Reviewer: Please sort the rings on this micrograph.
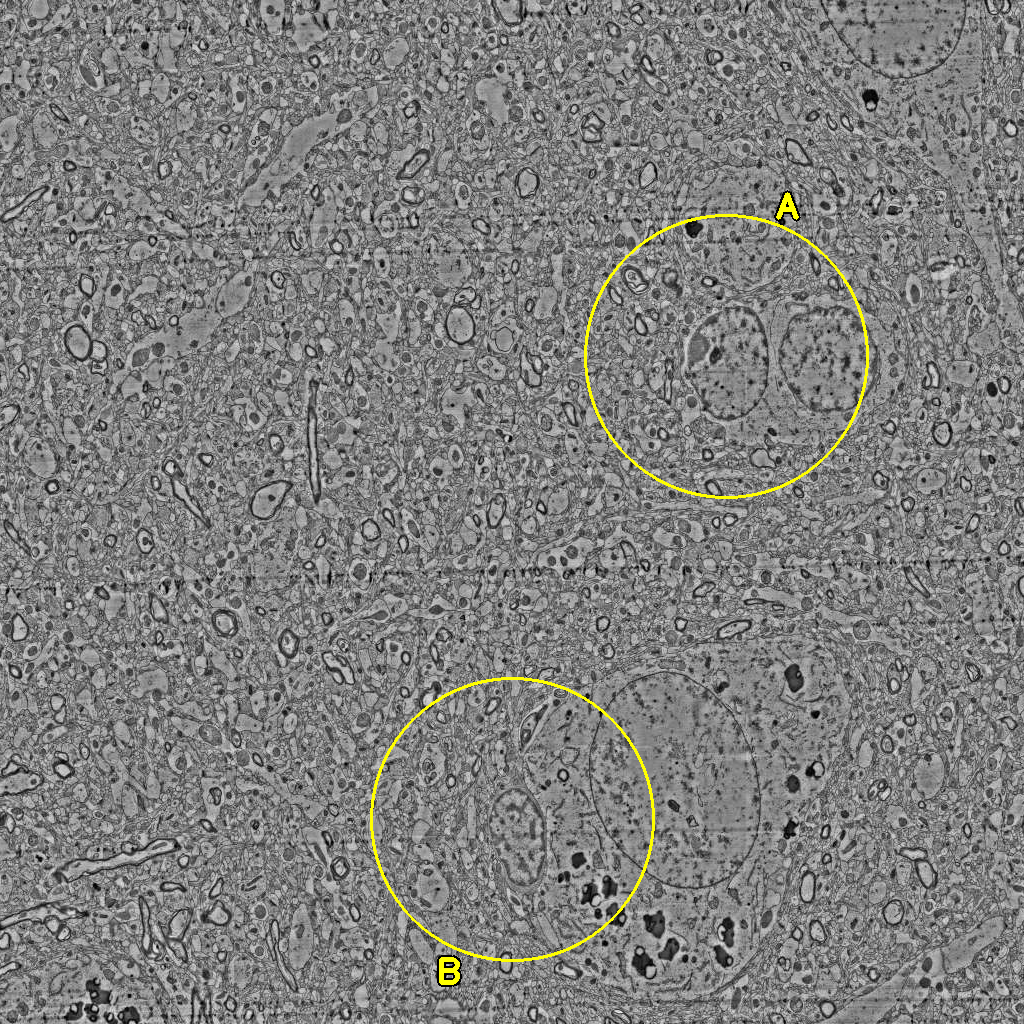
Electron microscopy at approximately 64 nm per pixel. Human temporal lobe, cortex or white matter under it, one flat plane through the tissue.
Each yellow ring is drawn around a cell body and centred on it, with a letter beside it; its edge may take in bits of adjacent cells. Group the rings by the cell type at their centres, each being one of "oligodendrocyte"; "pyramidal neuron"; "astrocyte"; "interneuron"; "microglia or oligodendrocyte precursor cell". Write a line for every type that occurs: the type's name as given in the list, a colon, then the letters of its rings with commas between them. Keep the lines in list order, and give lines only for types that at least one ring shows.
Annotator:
oligodendrocyte: B
microglia or oligodendrocyte precursor cell: A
